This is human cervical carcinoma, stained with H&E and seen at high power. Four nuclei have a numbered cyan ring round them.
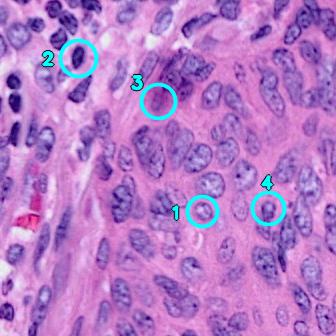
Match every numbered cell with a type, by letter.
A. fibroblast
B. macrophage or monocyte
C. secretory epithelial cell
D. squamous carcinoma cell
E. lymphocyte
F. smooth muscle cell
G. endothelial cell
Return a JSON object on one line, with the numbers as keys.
{"1": "D", "2": "E", "3": "D", "4": "D"}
